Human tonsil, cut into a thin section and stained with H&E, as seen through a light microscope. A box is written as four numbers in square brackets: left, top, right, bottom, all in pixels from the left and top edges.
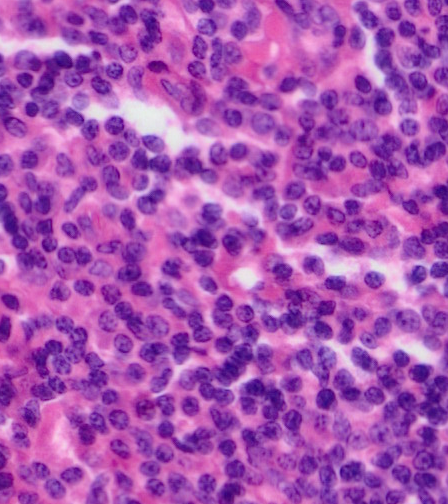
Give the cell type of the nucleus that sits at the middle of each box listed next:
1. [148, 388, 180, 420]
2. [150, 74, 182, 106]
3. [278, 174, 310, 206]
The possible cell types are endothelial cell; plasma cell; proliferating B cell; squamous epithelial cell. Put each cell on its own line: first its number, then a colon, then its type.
1: plasma cell
2: endothelial cell
3: plasma cell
